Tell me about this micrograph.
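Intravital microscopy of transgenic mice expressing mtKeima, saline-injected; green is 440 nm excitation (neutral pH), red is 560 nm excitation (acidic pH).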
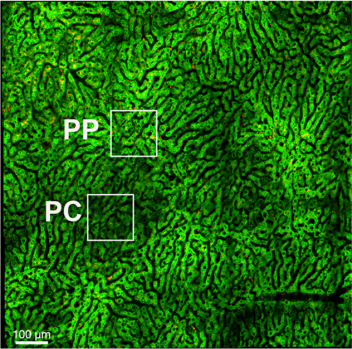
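The liver cells fluoresce green and are arranged in plates and cords, separated by a fine meshwork of dark, branching channels that carry blood between them. The green is brighter in some areas and dimmer in others, so the lobule looks patchy. Only a few tiny red dots are scattered among the green cells.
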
